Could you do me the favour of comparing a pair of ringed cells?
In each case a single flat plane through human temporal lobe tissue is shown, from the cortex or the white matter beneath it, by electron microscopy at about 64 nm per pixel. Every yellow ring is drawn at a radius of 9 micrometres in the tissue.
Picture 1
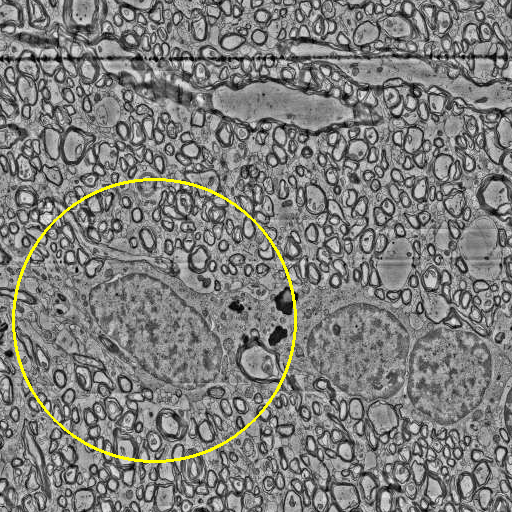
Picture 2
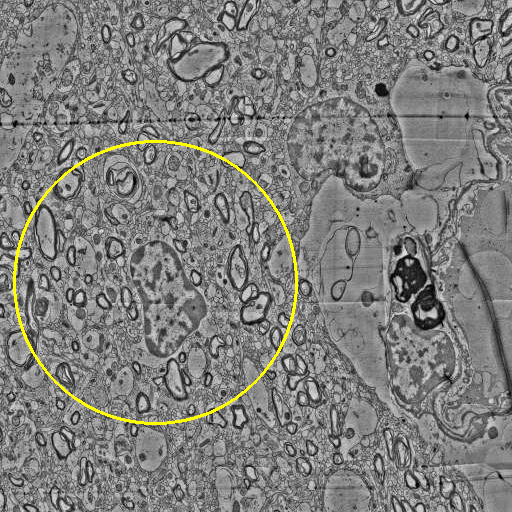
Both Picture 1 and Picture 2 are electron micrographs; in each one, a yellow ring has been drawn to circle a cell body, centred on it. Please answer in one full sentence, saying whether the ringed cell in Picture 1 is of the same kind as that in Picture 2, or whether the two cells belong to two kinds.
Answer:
The ringed cells in Picture 1 and Picture 2 belong to two kinds.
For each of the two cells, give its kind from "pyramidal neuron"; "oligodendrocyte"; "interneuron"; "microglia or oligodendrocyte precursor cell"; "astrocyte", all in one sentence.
The first picture has an oligodendrocyte in its ring, the second has a microglial cell or oligodendrocyte precursor cell.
